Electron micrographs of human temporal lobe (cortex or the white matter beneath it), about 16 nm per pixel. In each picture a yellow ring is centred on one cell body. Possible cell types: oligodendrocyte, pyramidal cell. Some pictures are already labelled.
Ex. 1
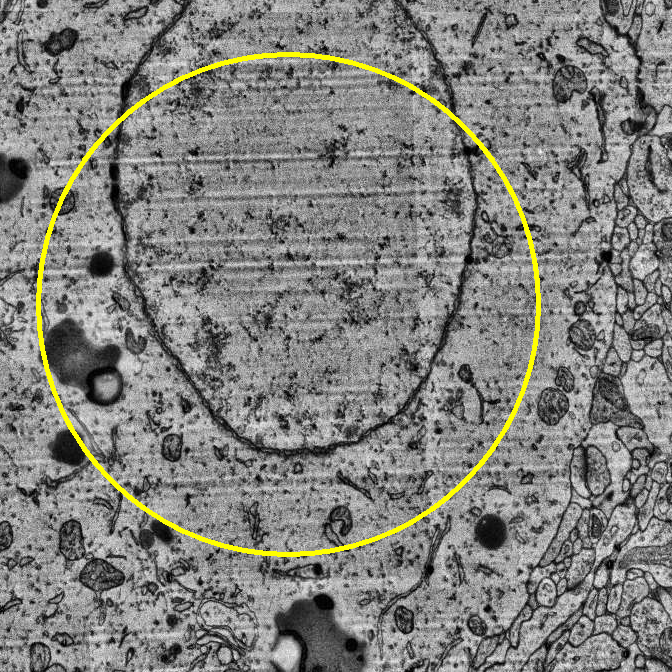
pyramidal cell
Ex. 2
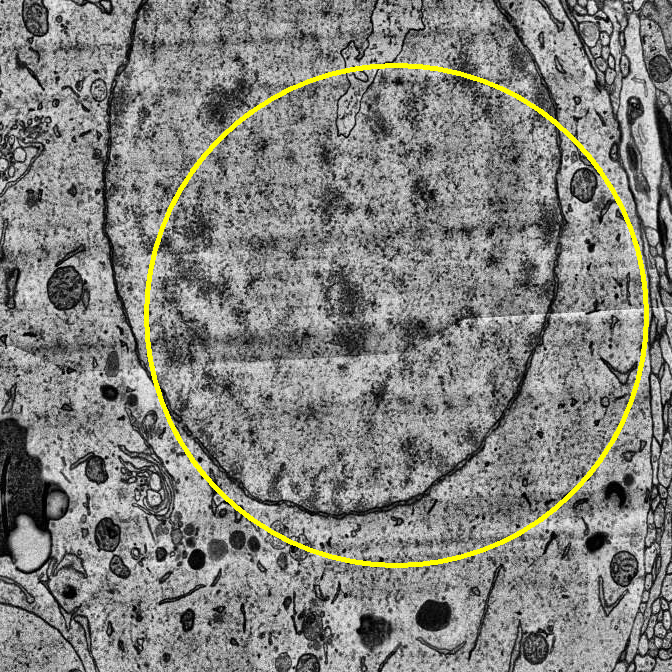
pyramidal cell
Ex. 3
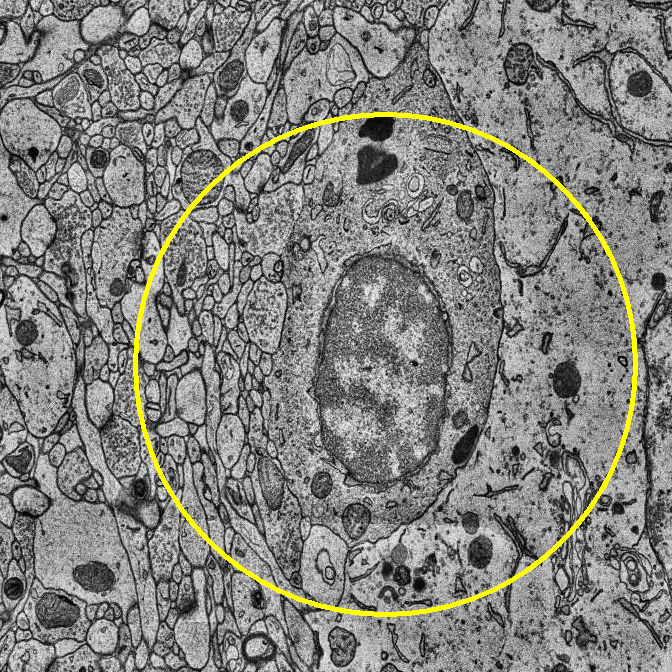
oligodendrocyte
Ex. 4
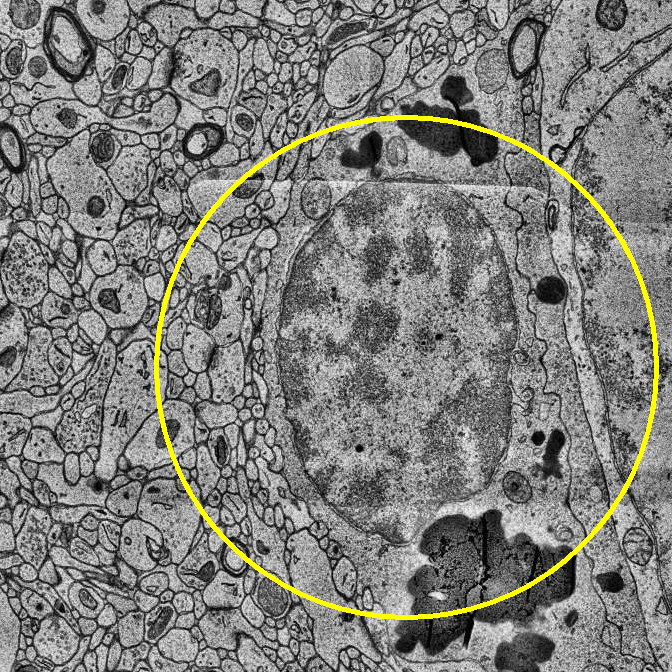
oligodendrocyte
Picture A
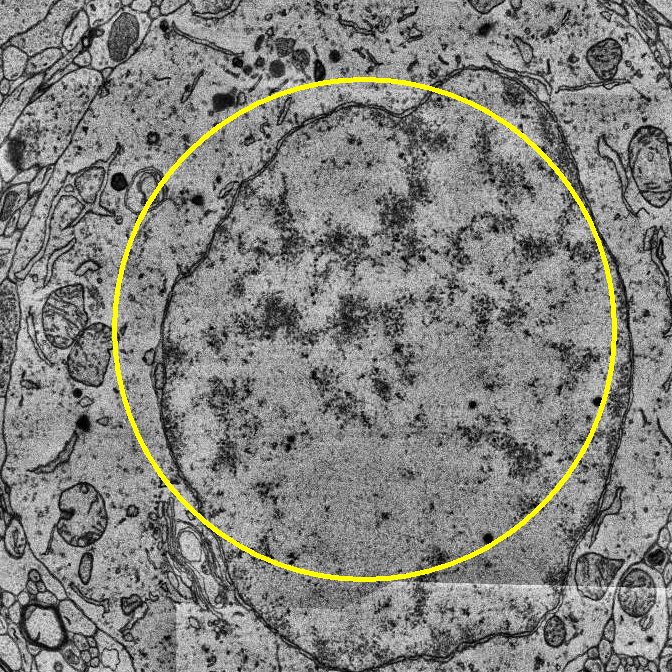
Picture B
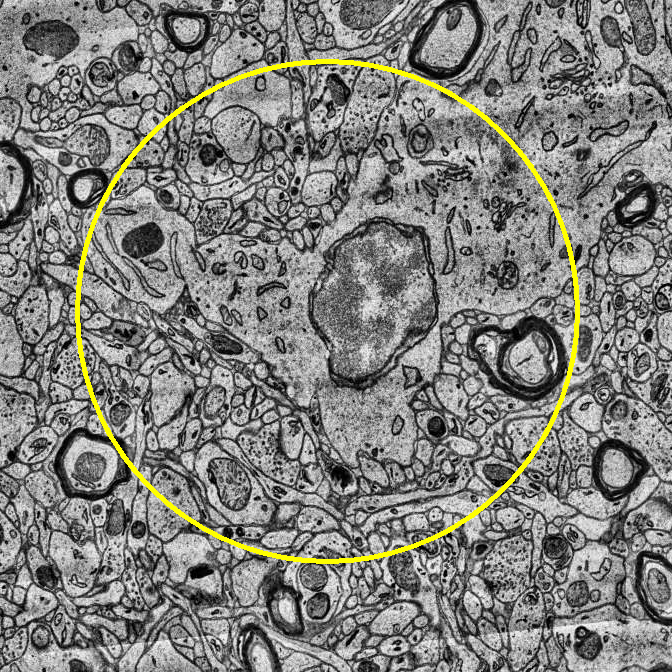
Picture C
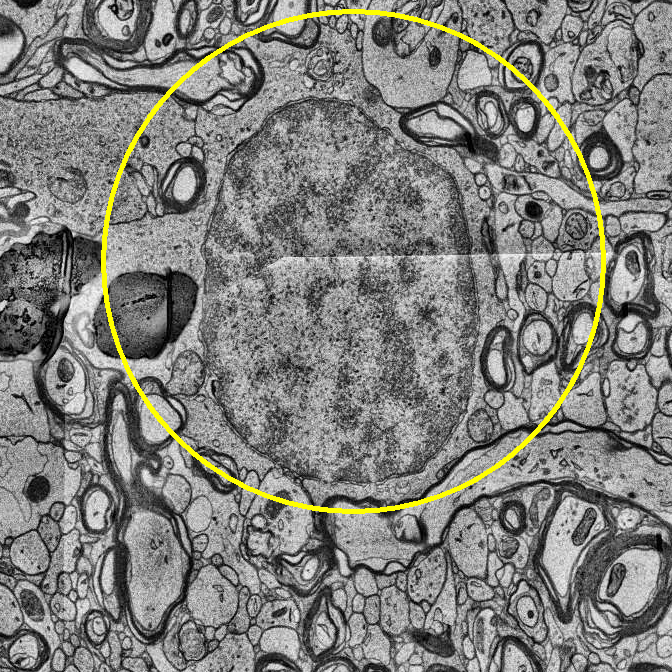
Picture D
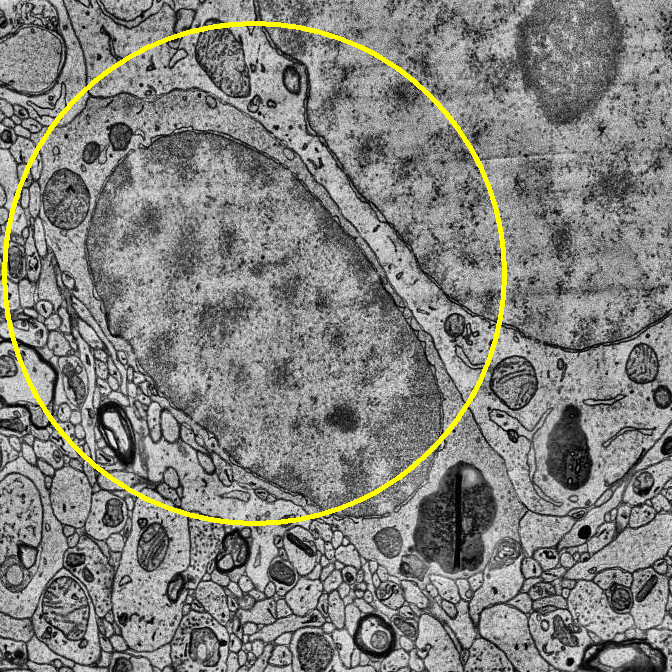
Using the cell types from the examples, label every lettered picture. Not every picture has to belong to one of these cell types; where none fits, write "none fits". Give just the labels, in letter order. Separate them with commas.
pyramidal cell, none fits, oligodendrocyte, oligodendrocyte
